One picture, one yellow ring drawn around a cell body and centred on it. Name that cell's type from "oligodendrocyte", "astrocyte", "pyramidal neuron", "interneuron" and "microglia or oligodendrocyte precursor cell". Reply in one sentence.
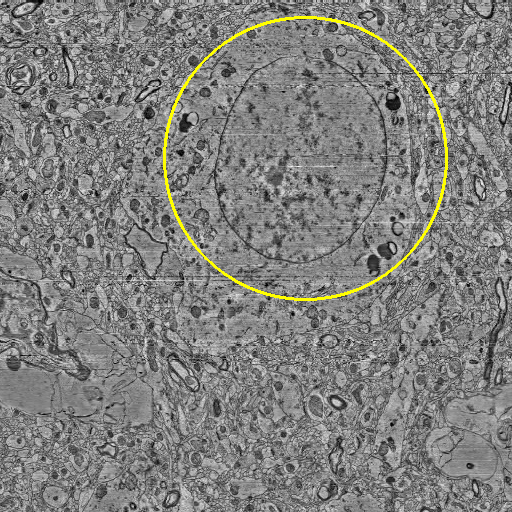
Centred in the ring is a pyramidal neuron.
